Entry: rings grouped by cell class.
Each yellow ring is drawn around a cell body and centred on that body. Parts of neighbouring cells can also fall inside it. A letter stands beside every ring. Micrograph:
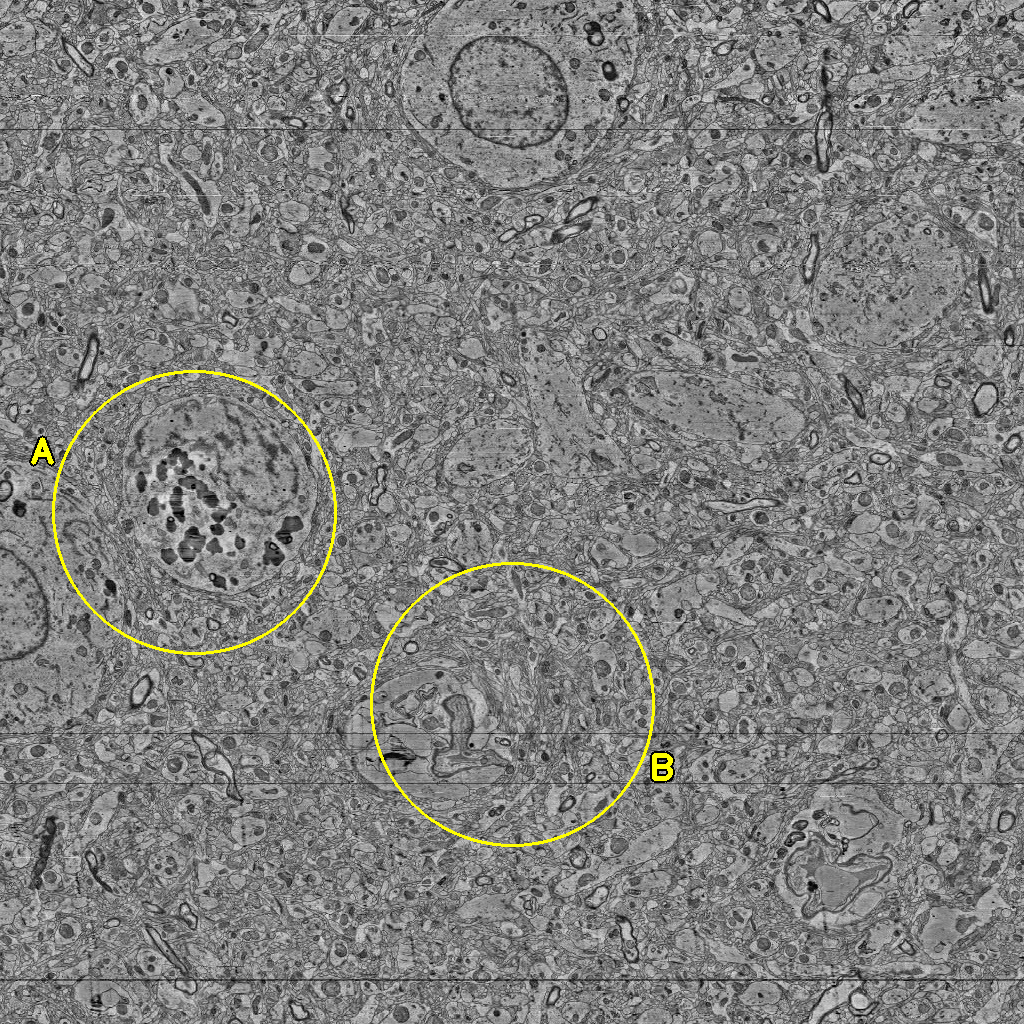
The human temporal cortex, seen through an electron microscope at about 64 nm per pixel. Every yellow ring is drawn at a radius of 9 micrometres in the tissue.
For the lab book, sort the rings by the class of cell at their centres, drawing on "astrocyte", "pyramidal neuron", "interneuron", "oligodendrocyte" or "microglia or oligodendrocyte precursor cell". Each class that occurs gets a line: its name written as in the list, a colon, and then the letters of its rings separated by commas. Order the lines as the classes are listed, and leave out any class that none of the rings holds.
interneuron: A
oligodendrocyte: B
